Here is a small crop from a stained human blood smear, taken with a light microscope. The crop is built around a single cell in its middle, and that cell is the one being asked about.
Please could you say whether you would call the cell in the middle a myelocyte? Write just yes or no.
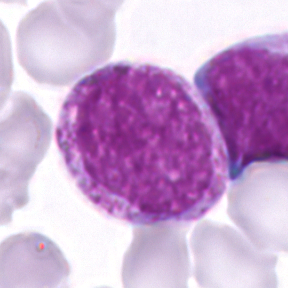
yes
